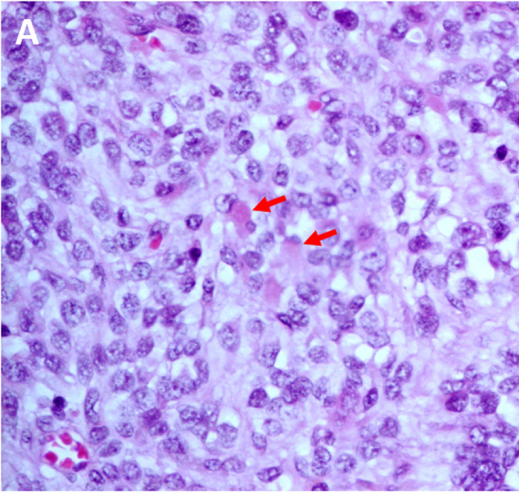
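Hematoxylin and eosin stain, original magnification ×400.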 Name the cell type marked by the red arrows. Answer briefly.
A: Rhabdomyoblasts.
